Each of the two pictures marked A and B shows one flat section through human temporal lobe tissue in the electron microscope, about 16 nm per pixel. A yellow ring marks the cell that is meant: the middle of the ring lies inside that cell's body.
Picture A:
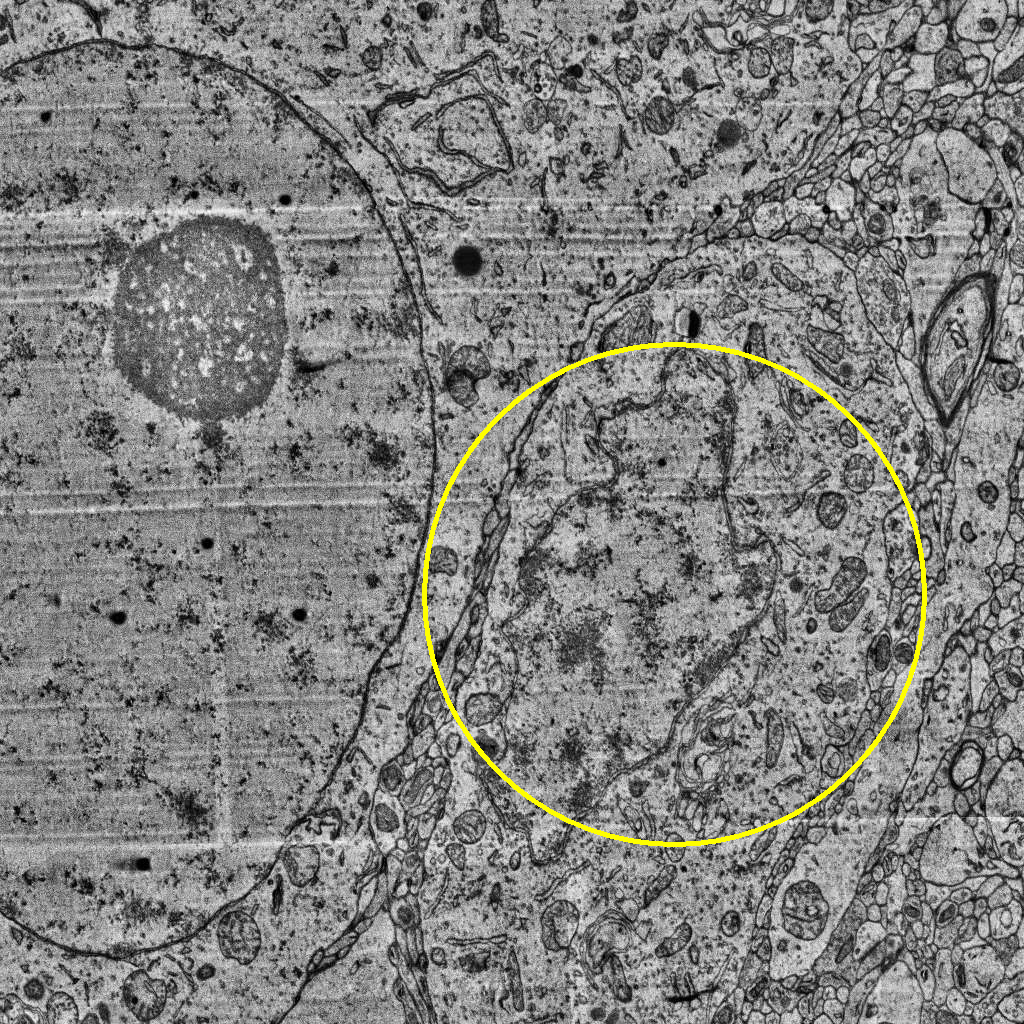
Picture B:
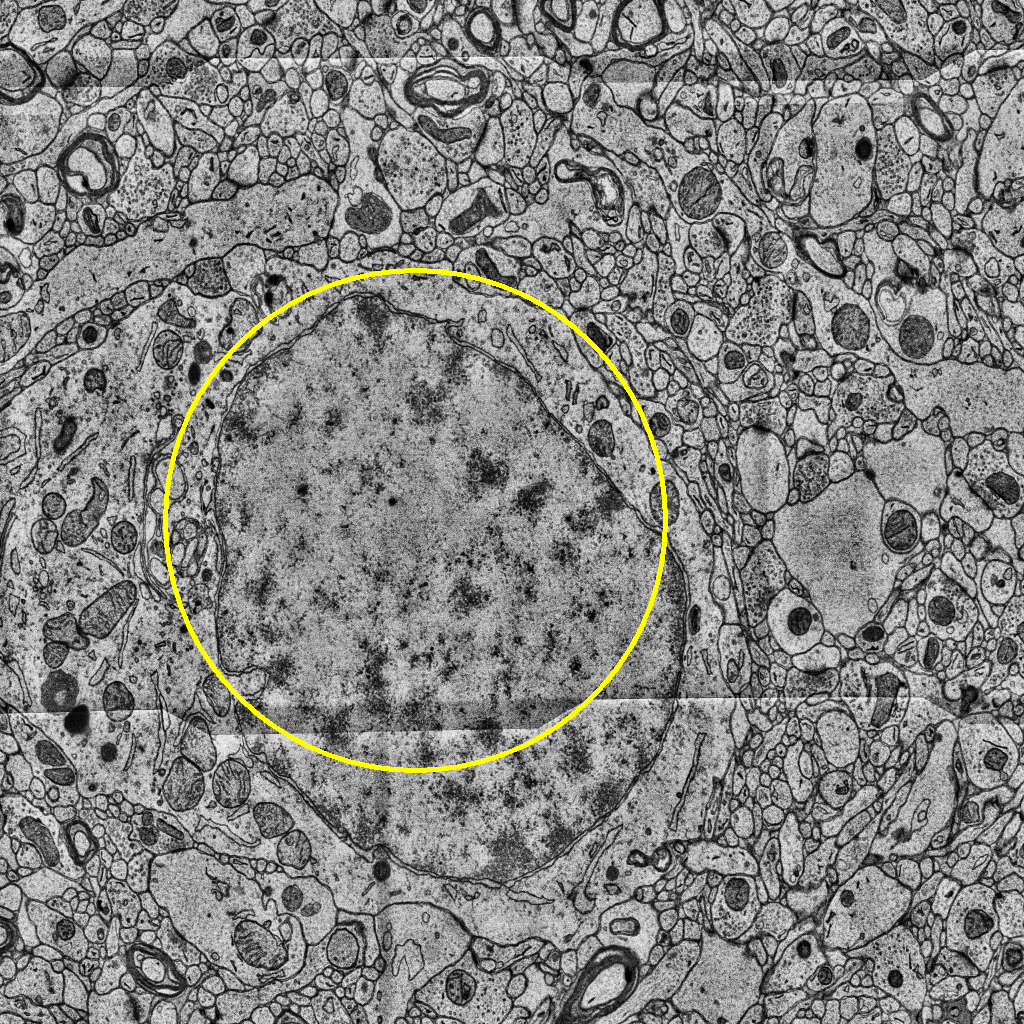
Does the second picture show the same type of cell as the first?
Yes, both cells are interneurons.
